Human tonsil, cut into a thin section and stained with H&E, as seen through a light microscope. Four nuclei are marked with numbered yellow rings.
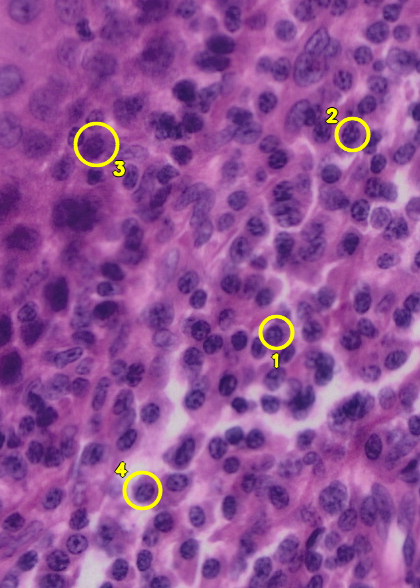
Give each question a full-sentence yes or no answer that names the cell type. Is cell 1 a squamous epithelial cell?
No, number 1 does not mark a squamous epithelial cell; it marks a plasma cell.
